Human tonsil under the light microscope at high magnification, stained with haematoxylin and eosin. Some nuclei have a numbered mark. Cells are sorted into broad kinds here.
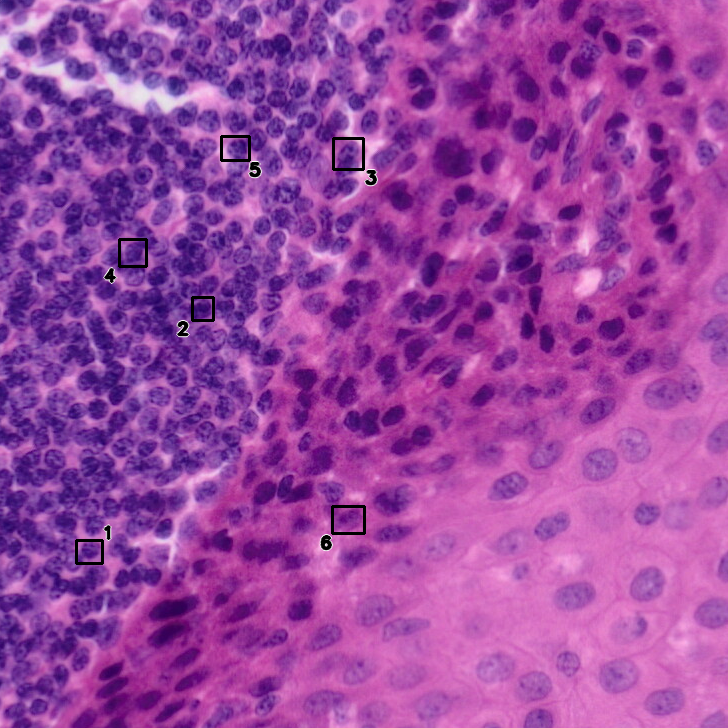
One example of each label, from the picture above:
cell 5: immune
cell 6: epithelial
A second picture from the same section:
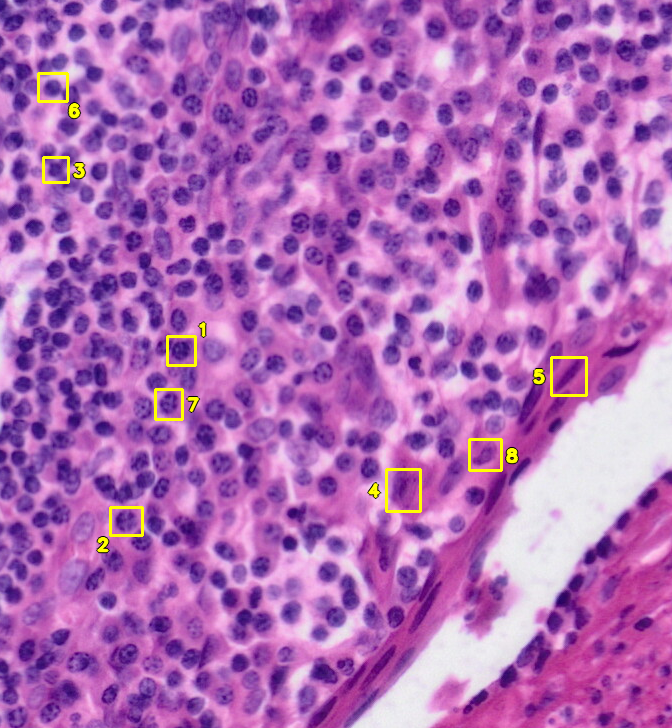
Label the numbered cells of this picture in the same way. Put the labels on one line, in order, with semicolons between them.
immune; immune; immune; epithelial; epithelial; immune; immune; epithelial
